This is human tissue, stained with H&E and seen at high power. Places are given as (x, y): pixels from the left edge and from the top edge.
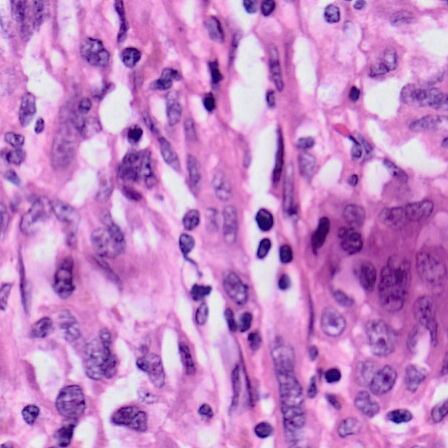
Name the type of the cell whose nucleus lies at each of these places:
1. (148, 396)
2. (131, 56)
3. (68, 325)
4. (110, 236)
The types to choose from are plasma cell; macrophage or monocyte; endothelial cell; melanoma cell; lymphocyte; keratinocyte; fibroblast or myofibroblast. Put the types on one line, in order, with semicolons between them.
melanoma cell; lymphocyte; melanoma cell; melanoma cell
